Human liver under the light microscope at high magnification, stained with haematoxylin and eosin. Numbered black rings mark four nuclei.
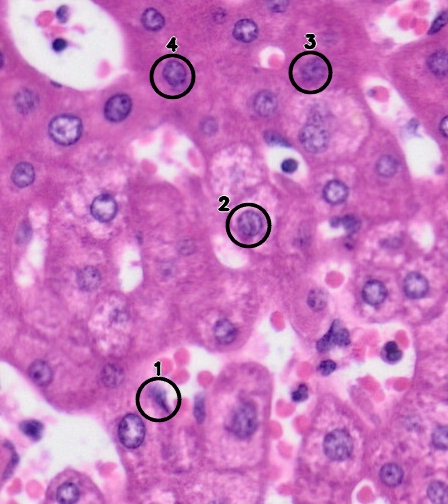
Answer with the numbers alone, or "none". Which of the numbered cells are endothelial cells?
1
